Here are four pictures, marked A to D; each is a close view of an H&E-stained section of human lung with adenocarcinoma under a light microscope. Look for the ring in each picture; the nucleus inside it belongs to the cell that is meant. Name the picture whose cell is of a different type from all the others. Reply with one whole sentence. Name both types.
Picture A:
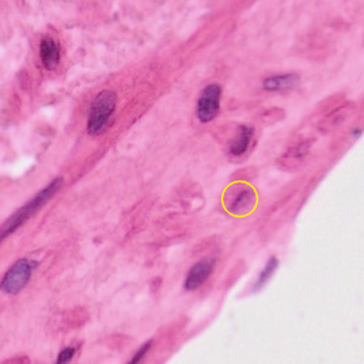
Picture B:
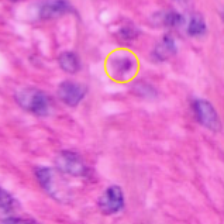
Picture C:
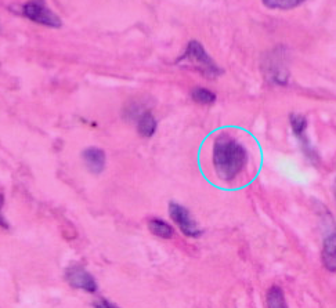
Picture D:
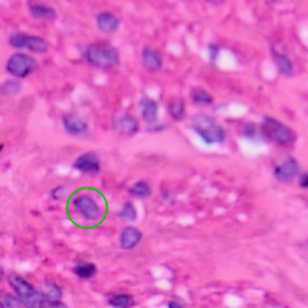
The others show “smooth muscle cells or pericytes”, but picture C shows a fibroblast.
